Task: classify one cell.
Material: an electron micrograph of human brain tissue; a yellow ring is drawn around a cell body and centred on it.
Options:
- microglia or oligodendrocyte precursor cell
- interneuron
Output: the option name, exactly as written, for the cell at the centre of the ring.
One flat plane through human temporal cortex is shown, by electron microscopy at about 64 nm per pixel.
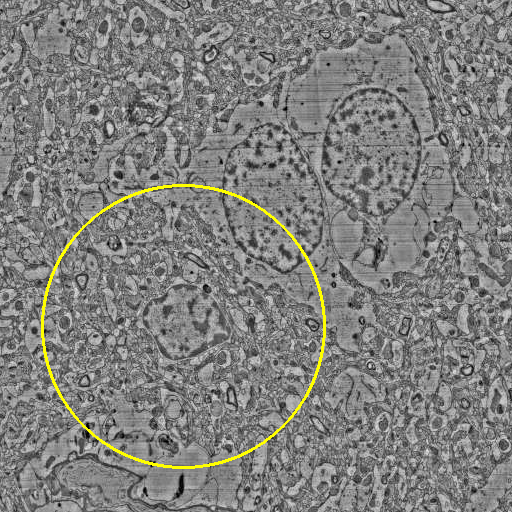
microglia or oligodendrocyte precursor cell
